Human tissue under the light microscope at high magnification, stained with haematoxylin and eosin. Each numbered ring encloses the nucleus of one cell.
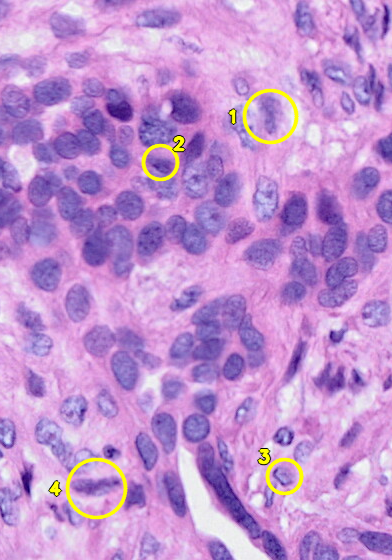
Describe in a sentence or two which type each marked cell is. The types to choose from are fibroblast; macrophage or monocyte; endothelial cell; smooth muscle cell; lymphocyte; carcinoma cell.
Cells 1, 3 and 4 are fibroblasts. Cell 2 is a carcinoma cell.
